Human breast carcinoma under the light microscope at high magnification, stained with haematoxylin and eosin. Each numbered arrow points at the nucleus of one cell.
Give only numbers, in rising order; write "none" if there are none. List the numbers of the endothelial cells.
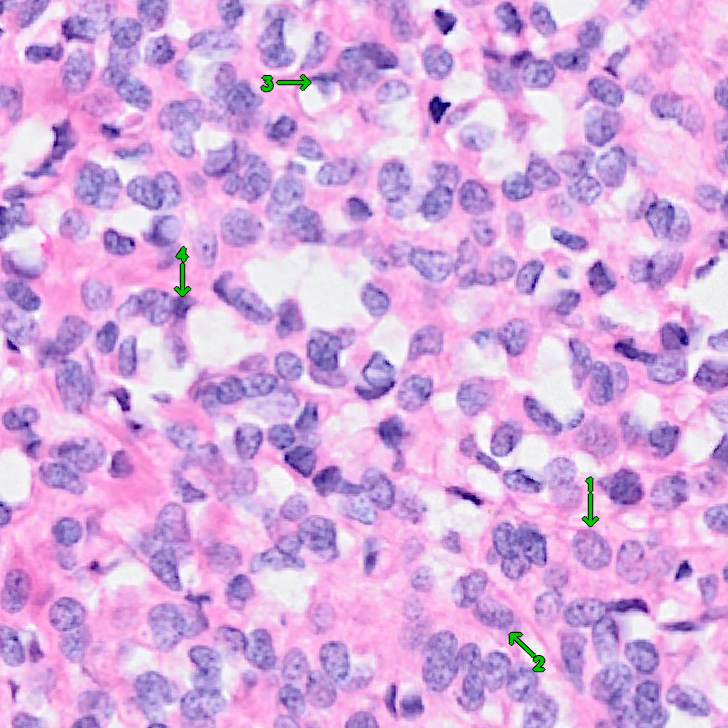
3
